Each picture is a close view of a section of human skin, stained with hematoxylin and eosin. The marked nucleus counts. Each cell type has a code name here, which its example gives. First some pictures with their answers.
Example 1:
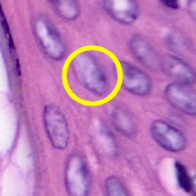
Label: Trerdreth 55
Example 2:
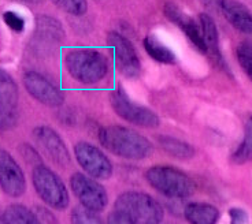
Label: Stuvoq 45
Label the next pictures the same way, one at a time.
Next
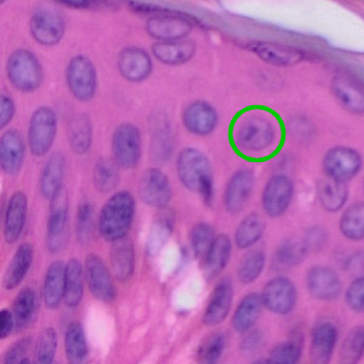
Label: Trerdreth 55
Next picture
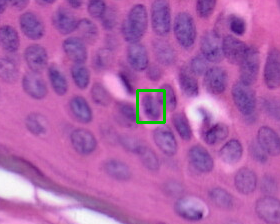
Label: Stuvoq 45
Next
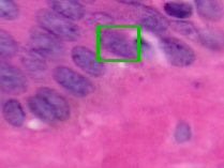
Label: Stuvoq 45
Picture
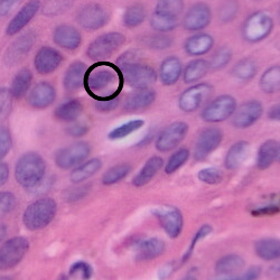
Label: Stuvoq 45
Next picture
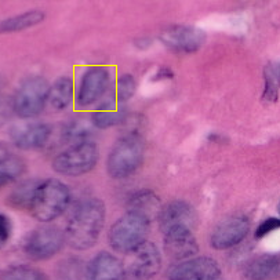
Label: Stuvoq 45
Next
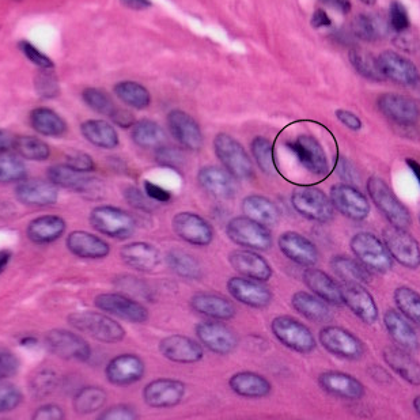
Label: Stuvoq 45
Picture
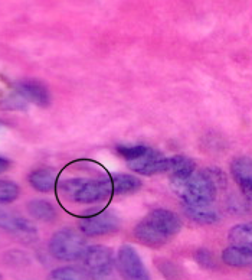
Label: Stuvoq 45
